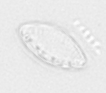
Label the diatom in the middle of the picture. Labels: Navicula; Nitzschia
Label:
Nitzschia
